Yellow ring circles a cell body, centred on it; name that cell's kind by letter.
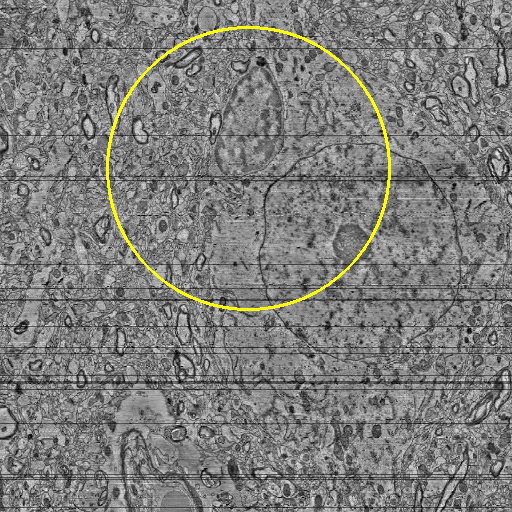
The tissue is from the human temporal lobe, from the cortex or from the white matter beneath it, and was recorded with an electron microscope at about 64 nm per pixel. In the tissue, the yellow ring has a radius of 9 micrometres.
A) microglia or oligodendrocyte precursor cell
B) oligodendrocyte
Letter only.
B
